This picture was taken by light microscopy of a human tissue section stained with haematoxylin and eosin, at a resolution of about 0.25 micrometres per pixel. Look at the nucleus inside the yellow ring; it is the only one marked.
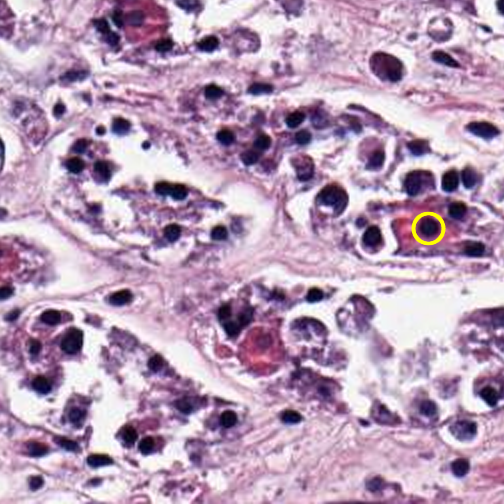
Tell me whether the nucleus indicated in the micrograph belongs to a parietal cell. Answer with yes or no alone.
yes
